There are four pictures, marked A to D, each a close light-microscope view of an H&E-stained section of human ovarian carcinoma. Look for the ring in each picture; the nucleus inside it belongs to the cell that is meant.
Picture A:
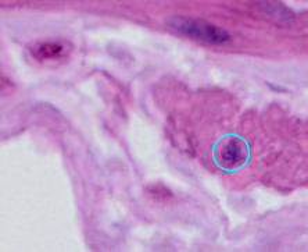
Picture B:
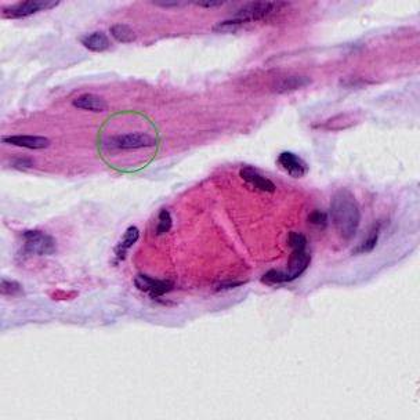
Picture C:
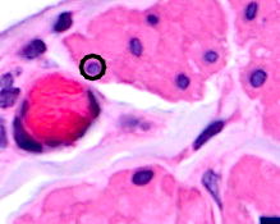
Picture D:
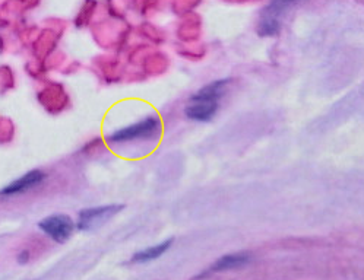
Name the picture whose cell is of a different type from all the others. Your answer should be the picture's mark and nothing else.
D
